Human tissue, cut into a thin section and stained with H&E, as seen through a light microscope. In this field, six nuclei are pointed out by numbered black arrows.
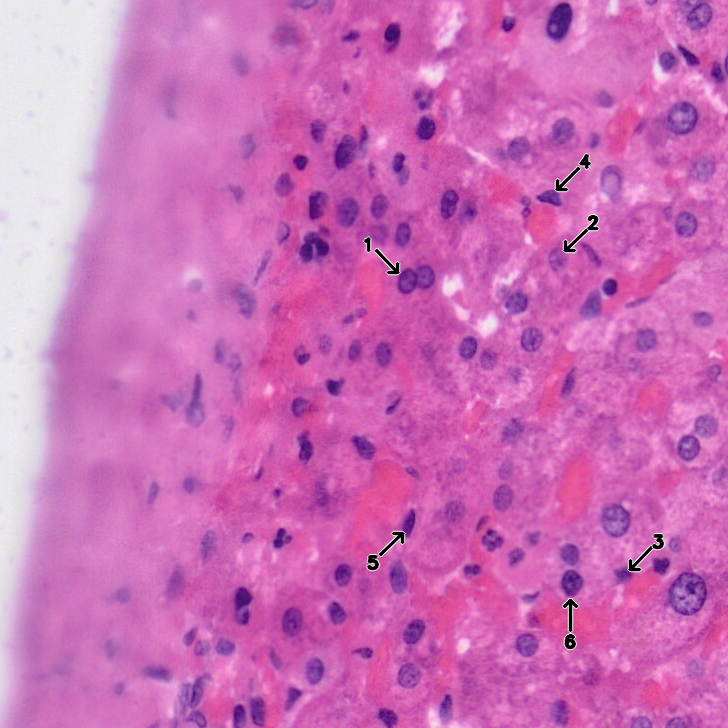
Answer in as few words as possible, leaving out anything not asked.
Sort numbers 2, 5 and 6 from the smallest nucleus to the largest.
5, 2, 6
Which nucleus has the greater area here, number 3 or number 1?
1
